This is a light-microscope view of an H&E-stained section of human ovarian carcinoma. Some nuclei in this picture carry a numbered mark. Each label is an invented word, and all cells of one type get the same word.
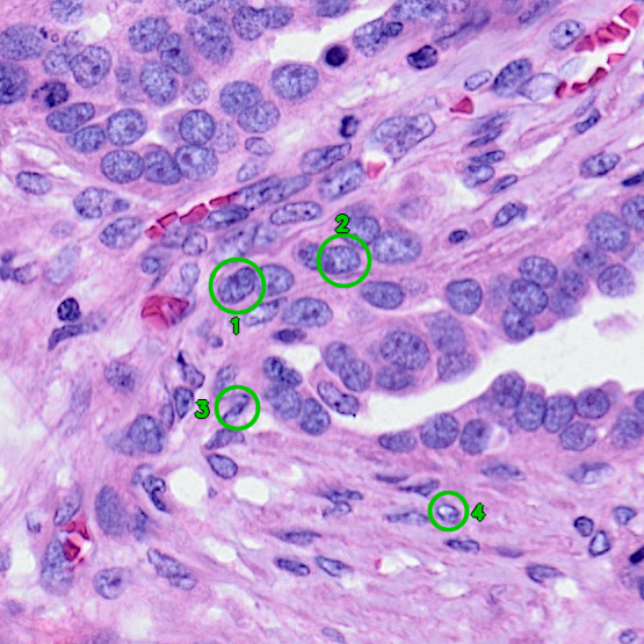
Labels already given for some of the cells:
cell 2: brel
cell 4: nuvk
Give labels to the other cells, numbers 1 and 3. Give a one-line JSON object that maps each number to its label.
{"1": "brel", "3": "nuvk"}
